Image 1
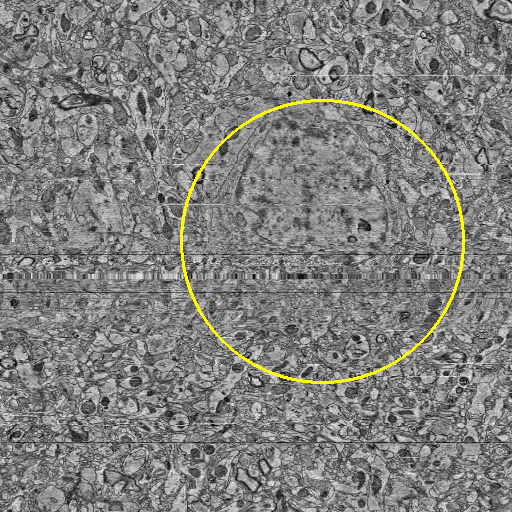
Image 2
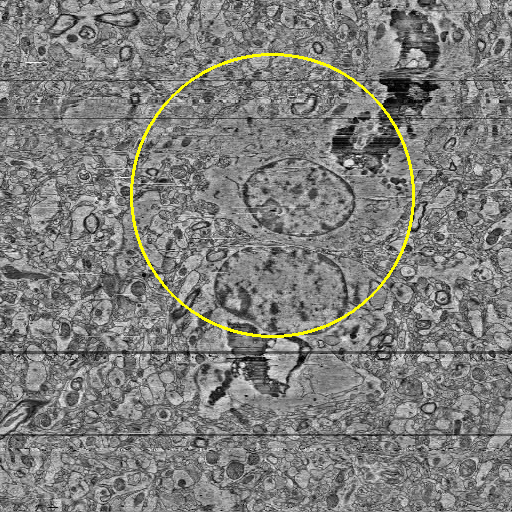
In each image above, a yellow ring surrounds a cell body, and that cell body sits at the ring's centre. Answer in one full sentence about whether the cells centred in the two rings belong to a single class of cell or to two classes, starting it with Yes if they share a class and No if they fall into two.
No, the cells centred in the two yellow rings belong to two classes of cell.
